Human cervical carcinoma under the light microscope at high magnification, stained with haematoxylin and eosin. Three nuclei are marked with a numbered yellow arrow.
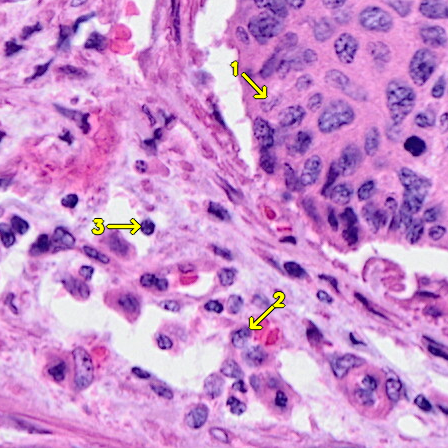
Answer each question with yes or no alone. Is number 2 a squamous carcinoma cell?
no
